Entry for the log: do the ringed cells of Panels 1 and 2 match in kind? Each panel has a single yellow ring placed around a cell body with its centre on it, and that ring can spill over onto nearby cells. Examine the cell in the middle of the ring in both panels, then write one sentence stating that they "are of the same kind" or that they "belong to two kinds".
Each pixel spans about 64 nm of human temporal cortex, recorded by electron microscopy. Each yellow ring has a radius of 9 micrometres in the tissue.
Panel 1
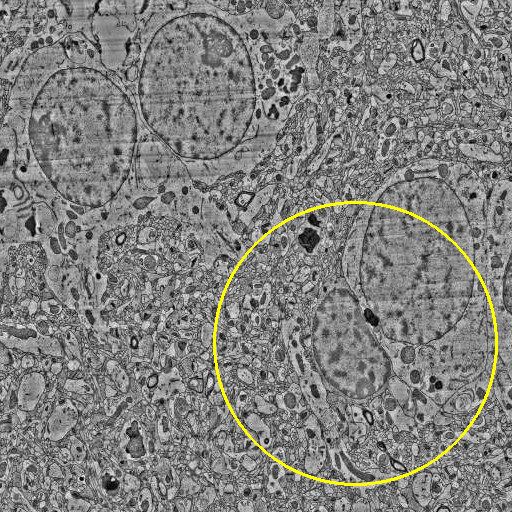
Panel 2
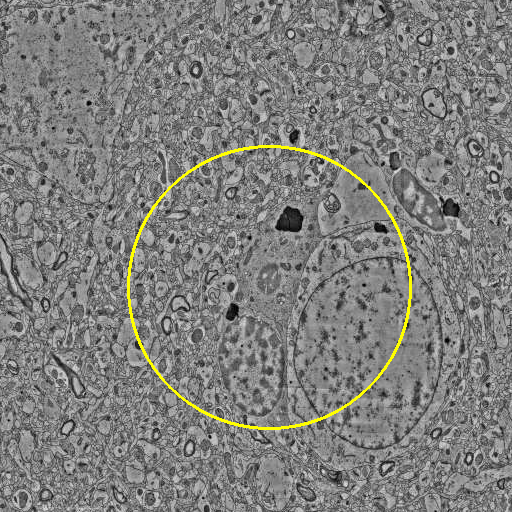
The centre cell of Panel 1's ring and that of Panel 2's ring are of the same kind.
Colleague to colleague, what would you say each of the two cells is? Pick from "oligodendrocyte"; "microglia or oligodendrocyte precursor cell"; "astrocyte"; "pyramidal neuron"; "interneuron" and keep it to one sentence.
Each of the two rings is centred on an oligodendrocyte.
